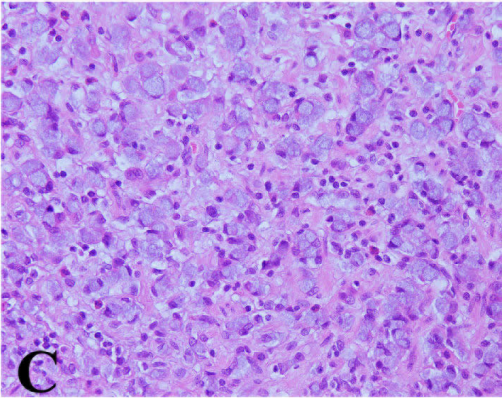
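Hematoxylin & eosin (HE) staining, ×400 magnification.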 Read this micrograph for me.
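Here cancer cells in the form of signet rings are spread diffusely through the tissue. Each cell has a pale, finely bubbly, bluish-grey cytoplasm that fills most of the cell. The nucleus is pushed toward one side. No glands or nests are formed, and small dark nuclei of other cells lie between them.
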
